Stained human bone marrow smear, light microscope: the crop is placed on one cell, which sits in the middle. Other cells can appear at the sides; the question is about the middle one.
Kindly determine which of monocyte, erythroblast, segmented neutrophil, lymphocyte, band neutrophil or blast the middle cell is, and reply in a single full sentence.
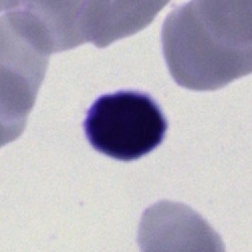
In the crop, the cell of interest at the centre is a lymphocyte.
